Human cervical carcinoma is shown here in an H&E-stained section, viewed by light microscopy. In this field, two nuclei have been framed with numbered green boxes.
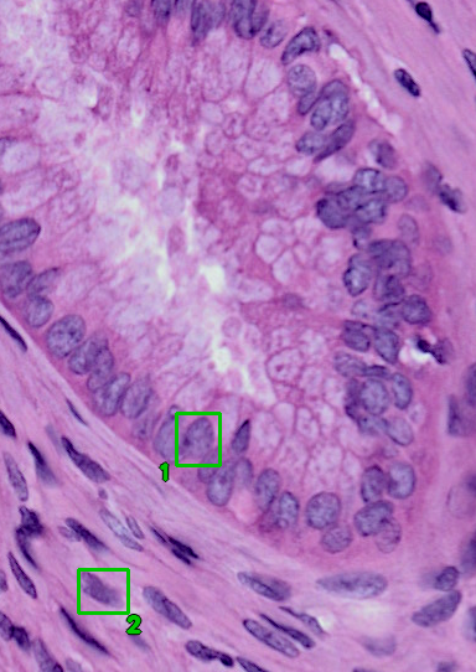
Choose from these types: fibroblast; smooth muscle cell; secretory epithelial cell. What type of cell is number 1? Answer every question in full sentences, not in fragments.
The cell that goes by number 1 is a secretory epithelial cell.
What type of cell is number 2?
At number 2, the marked cell is a fibroblast.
